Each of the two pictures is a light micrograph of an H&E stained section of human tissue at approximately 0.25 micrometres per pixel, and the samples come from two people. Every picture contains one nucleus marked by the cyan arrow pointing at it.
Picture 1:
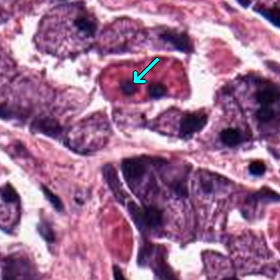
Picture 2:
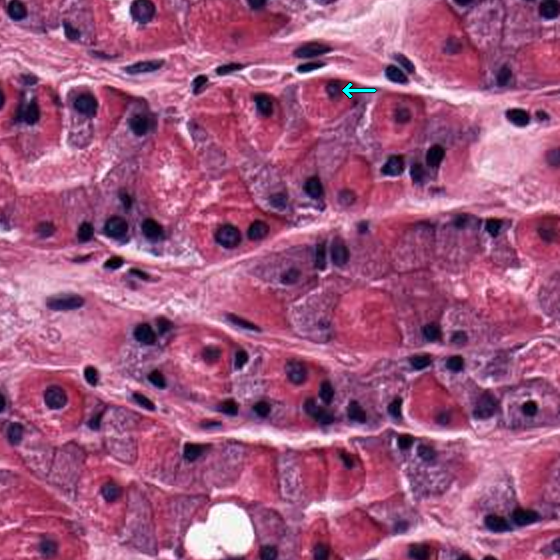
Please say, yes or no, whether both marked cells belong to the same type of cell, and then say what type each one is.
Yes, both are parietal cells.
